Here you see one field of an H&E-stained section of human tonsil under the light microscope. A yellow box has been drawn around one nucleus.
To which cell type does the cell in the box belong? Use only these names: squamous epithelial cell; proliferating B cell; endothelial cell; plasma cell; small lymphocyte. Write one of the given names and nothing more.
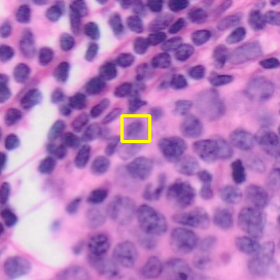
proliferating B cell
